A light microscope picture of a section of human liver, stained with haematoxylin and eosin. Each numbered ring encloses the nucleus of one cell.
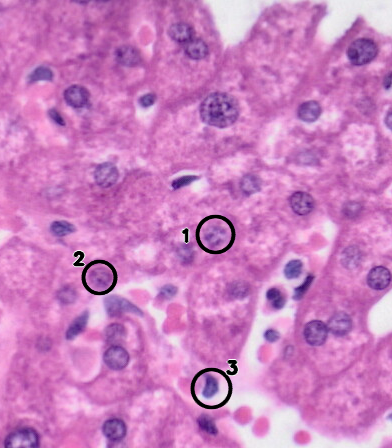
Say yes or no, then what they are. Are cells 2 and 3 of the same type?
No, the cell at number 2 is a hepatocyte, and the cell at number 3 is a lymphocyte.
